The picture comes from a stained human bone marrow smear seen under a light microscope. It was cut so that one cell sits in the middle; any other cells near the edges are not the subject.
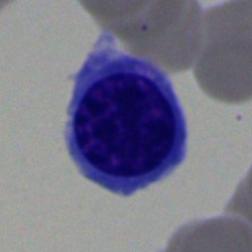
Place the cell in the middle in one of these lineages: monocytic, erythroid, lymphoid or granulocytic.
erythroid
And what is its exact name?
erythroblast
